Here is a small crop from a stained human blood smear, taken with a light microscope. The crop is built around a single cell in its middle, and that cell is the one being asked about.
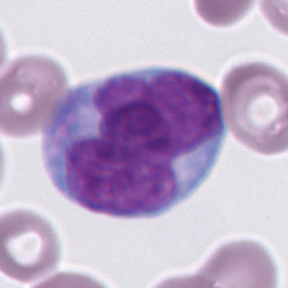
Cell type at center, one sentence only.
The central cell in this smear crop is an atypical promyelocyte.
